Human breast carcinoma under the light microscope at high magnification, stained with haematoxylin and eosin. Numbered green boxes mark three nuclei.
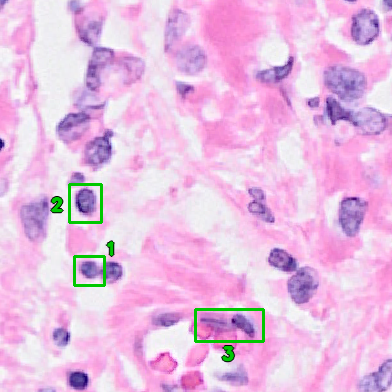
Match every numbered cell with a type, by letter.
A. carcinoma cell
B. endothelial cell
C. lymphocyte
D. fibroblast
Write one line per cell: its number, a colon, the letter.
1: C
2: C
3: B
